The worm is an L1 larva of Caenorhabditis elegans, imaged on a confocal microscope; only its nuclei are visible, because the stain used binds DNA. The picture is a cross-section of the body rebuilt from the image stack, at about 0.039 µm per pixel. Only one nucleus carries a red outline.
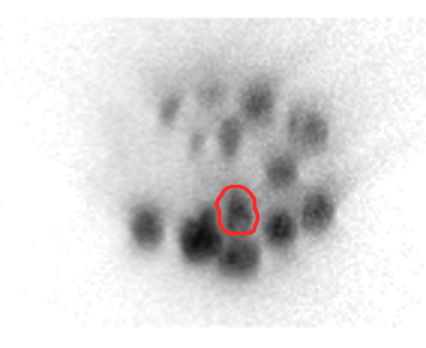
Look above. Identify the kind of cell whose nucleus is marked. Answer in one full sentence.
What is marked is the nucleus of a pharyngeal muscle cell.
